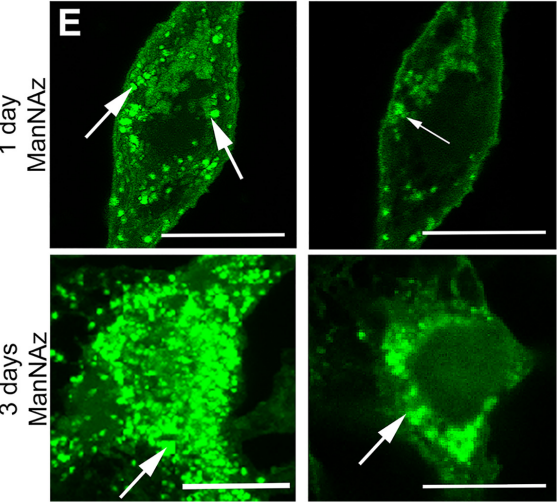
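Numerous small round green dots, cytoplasmic vesicles, are scattered through the cell body, while the nucleus shows as a rounded darker area. In the single planes the green gathers more densely in a patch beside the nucleus, a juxtanuclear region, with the dots packed tightly there and thinning out toward the cell edge.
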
